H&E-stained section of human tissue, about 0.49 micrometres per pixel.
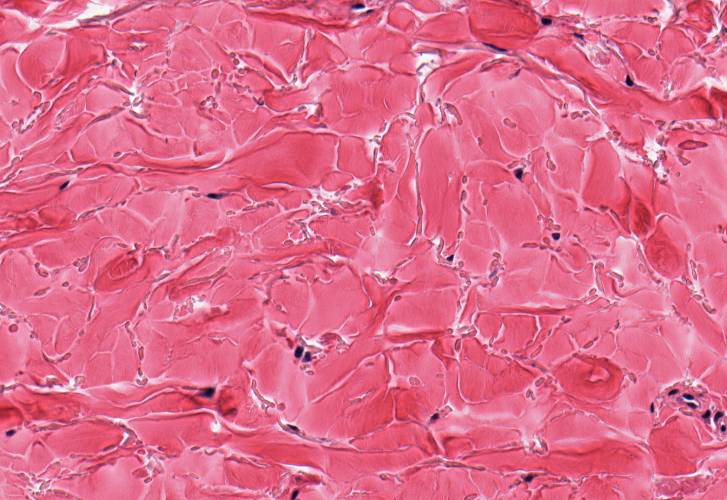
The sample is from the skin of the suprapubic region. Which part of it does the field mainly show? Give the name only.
dense connective tissue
